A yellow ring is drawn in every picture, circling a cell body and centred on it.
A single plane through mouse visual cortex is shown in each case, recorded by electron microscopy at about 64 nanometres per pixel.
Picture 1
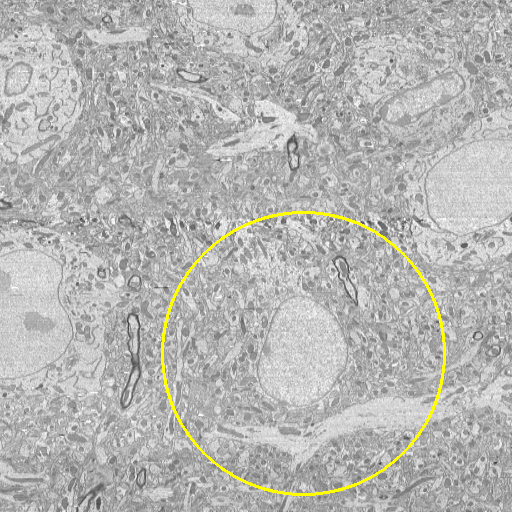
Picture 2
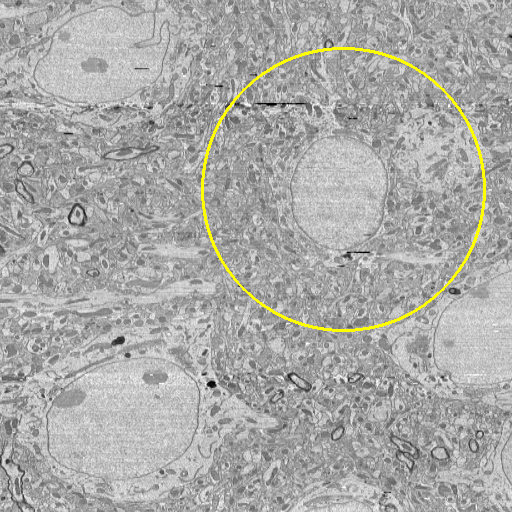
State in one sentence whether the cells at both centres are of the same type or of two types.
The cells at the two ring centres, one per picture, are of the same type.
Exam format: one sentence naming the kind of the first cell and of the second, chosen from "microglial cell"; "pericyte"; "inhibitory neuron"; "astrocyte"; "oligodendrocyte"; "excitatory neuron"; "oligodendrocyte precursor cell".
In each picture the ringed cell is an astrocyte.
